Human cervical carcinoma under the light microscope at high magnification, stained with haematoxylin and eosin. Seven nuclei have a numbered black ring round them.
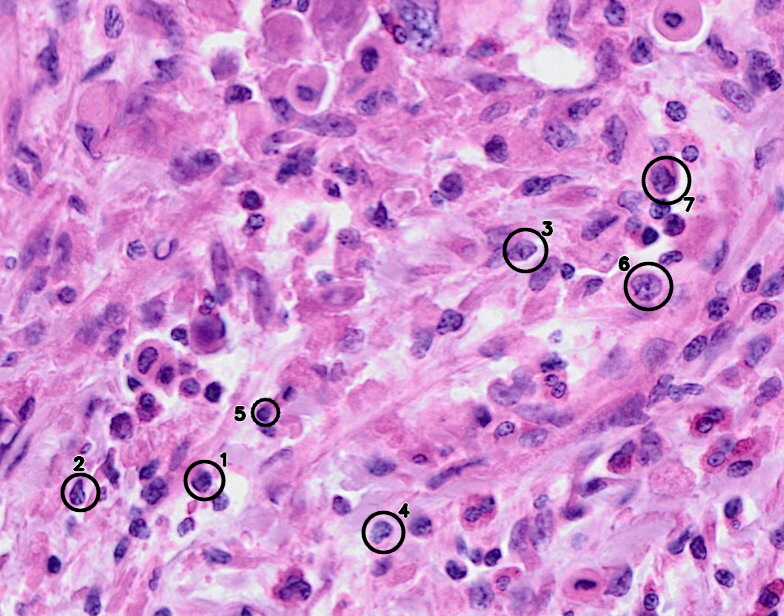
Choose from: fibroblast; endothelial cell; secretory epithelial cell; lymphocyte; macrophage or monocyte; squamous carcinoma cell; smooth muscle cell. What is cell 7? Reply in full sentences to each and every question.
Identified by the number 7, the cell is a macrophage or monocyte.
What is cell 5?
The correct label for cell 5 is a lymphocyte.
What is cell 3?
The cell identified by number 3 is a macrophage or monocyte.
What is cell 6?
The mark numbered 6 indicates the nucleus of a macrophage or monocyte.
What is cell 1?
In this section, the cell tagged 1 is a lymphocyte.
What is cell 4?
What the number 4 marks in this field is a lymphocyte.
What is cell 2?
The cell that bears the number 2 is a lymphocyte.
